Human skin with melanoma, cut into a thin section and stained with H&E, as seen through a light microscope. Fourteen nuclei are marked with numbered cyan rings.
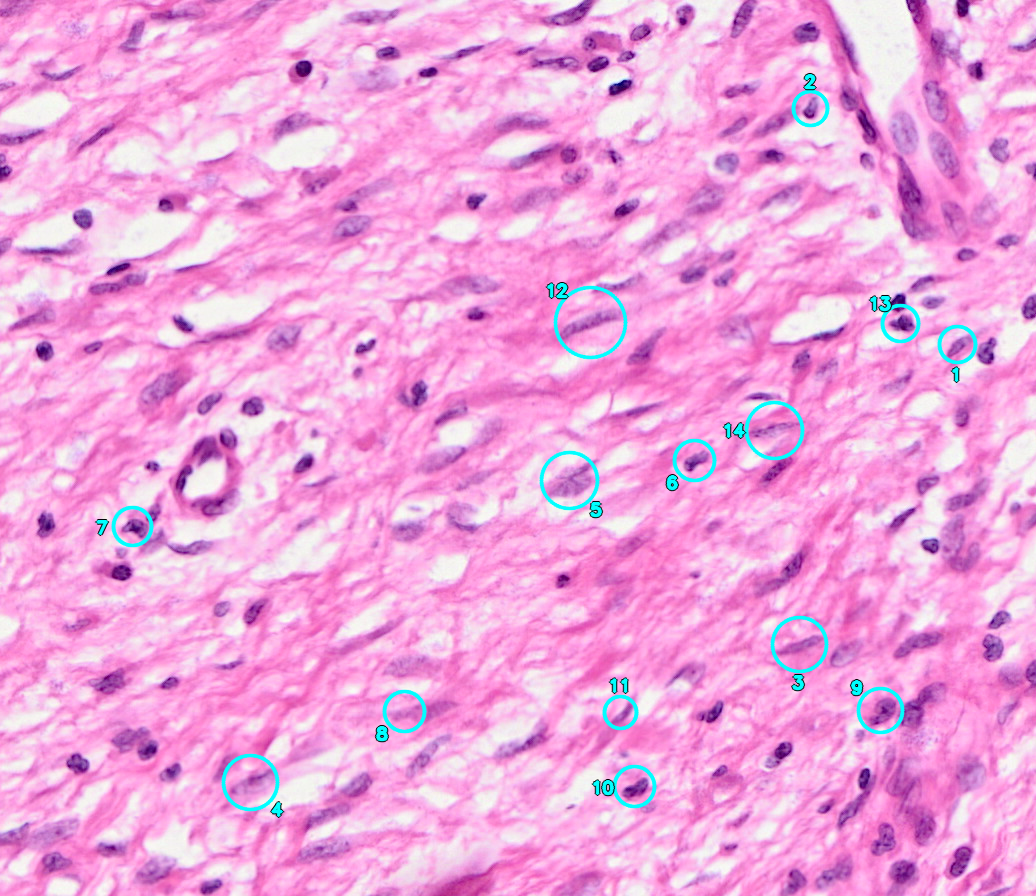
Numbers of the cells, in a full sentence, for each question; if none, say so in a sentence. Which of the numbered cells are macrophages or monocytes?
So, the cells with numbers 1 and 9 are macrophages or monocytes.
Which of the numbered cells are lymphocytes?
The cells bearing the numbers 2, 6, 7, 10 and 13 are lymphocytes.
